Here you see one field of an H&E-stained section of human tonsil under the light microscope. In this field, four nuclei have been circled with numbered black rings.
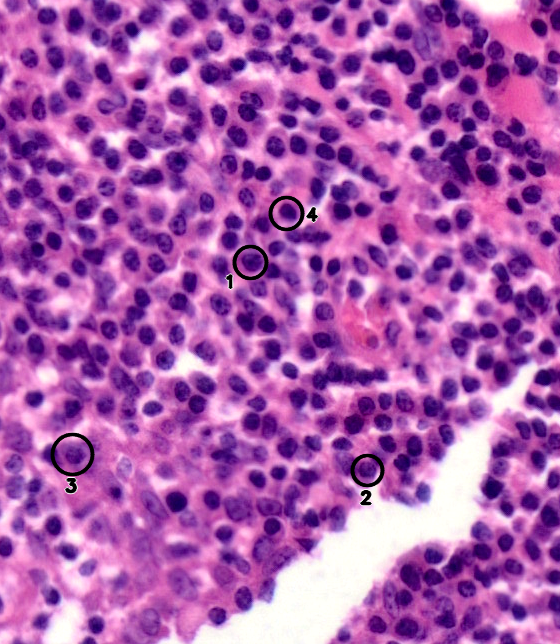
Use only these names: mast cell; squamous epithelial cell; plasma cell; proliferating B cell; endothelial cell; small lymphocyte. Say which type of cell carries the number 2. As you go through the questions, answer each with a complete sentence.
Cell 2 in the field of view is a plasma cell.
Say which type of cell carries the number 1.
To a plasma cell belongs the nucleus marked 1.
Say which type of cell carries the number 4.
The one numbered 4 among the marked cells is a plasma cell.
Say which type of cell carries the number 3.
The cell indicated with the number 3 is classed as a squamous epithelial cell.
